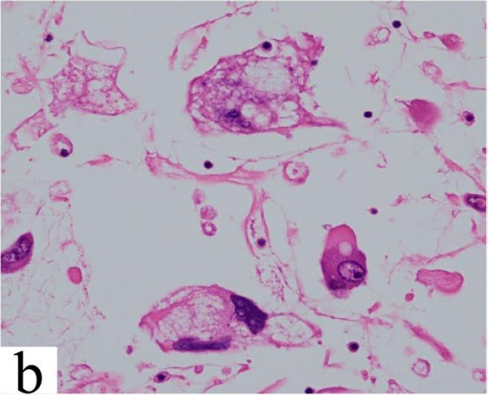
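This field shows degenerating tumor cells scattered loosely in a largely empty, pale background. Several cells are very large and bizarre, with irregular, dark, smudged nuclei, and some hold more than one nucleus. Their cytoplasm is pale and foamy or vacuolated, and the chromatin of some nuclei looks cleared and vacuolated. Thin pink strands of stroma run between the cells, and small round dark nuclei of other cells are scattered about.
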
